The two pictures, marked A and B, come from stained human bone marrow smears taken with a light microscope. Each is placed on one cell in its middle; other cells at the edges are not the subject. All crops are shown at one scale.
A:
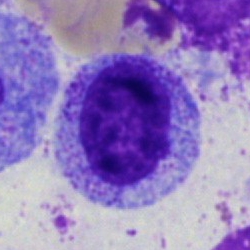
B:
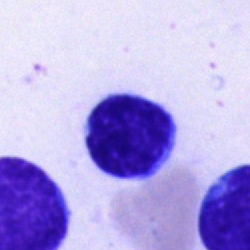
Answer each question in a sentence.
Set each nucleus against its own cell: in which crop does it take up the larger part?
Of the two, the nucleus in picture B makes up the greater part of its cell.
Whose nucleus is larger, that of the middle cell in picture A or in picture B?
It is the nucleus in picture A, about 1.5 times as large in area as the one in picture B.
